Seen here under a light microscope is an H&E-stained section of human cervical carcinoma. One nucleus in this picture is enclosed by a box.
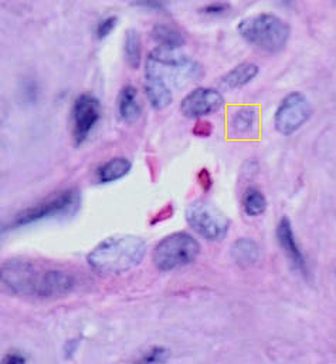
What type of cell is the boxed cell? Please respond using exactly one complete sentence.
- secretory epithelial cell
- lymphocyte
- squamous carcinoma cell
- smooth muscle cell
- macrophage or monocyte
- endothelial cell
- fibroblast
With respect to cell type, the boxed cell is an endothelial cell.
